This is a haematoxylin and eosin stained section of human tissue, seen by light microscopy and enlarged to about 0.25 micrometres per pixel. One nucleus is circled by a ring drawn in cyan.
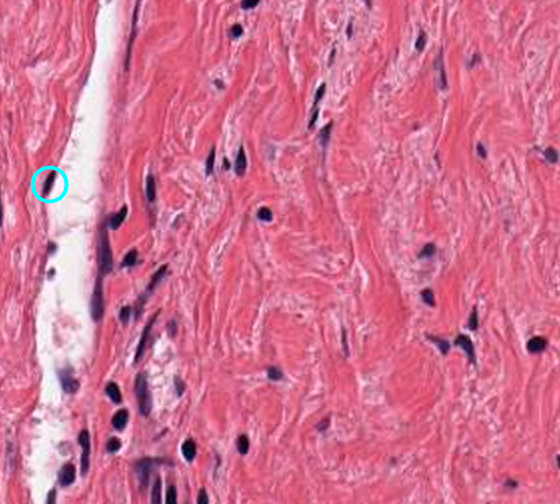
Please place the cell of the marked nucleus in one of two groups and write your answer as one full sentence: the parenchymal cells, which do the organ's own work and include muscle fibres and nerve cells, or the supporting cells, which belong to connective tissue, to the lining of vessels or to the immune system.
Among the cells in view, a supporting cell holds the marked nucleus.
